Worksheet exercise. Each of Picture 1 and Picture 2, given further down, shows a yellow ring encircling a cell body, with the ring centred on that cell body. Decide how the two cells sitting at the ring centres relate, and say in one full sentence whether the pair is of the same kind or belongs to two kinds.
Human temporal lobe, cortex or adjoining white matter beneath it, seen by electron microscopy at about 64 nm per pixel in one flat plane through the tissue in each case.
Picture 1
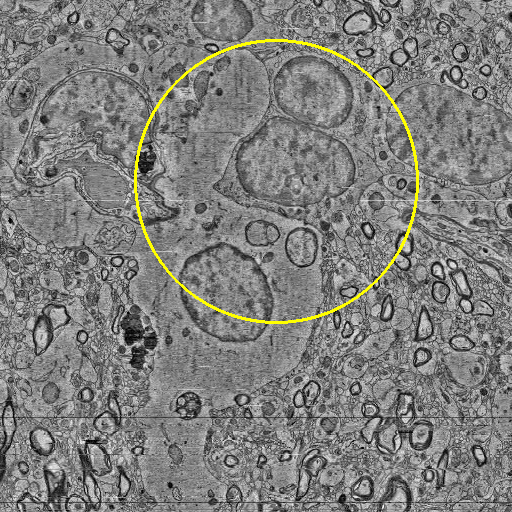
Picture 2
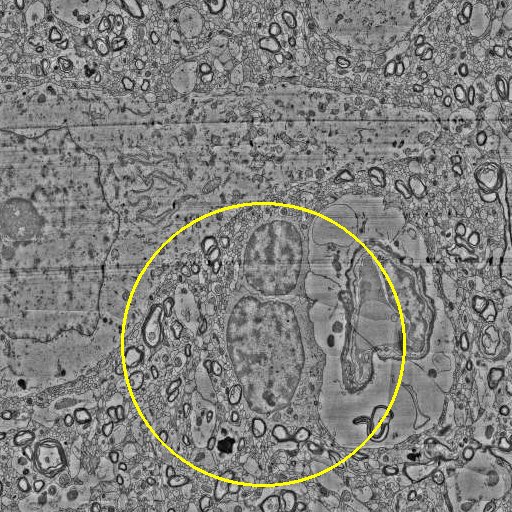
The cells at the ring centres in Picture 1 and Picture 2 are of the same kind.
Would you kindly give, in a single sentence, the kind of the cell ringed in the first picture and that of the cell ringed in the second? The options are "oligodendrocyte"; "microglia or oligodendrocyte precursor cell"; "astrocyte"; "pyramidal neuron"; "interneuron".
Each one of the two ringed cells is an oligodendrocyte.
